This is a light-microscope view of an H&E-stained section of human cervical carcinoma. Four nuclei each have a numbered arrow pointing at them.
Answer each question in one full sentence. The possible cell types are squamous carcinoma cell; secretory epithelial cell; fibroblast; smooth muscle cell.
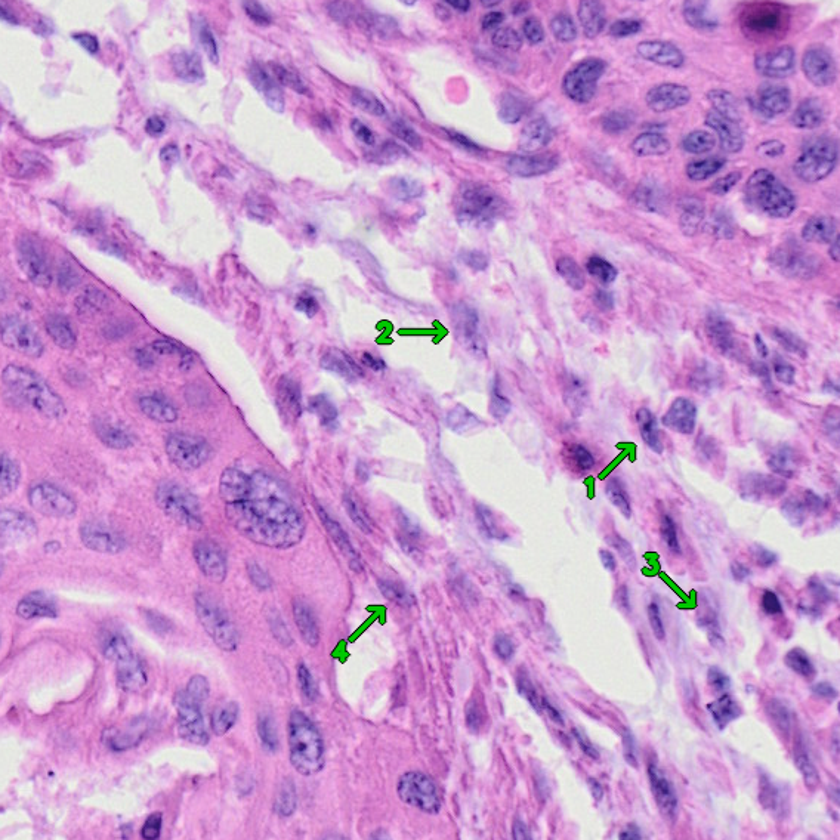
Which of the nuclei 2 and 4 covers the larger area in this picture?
Nucleus 2 covers more area, about 2.5 times as much as nucleus 4.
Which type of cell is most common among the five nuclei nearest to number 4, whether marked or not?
Most of the five nuclei nearest to number 4 are those of fibroblasts.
